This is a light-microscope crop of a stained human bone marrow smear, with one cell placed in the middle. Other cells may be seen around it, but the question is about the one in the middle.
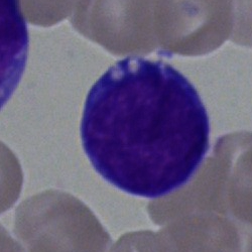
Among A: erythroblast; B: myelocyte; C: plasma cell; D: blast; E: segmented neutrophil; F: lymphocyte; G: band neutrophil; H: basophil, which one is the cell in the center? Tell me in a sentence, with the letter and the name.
Since the cell in the centre is a blast, the correct option is D.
